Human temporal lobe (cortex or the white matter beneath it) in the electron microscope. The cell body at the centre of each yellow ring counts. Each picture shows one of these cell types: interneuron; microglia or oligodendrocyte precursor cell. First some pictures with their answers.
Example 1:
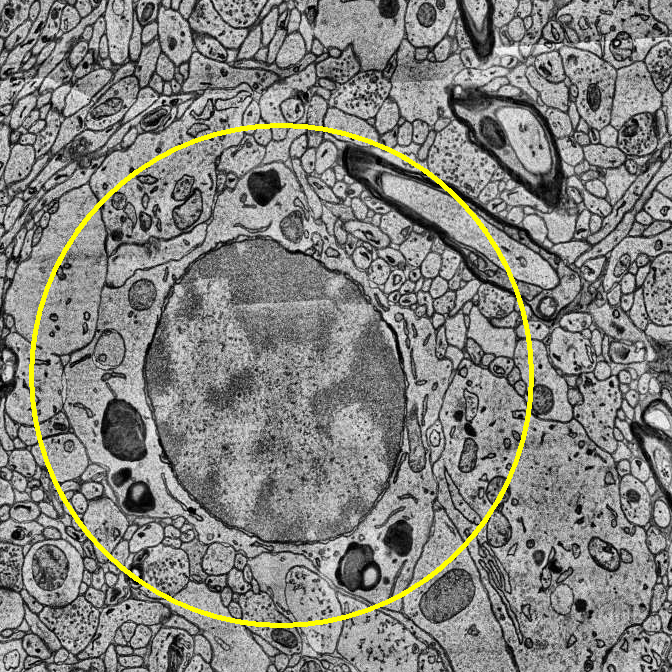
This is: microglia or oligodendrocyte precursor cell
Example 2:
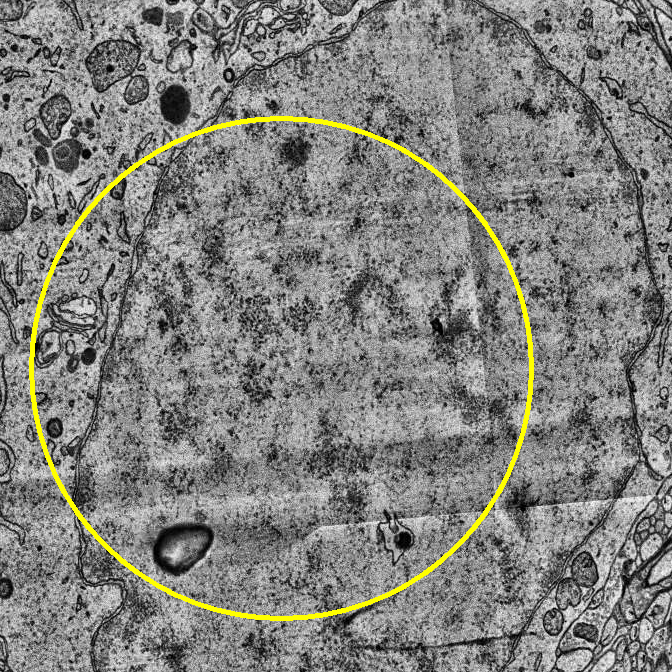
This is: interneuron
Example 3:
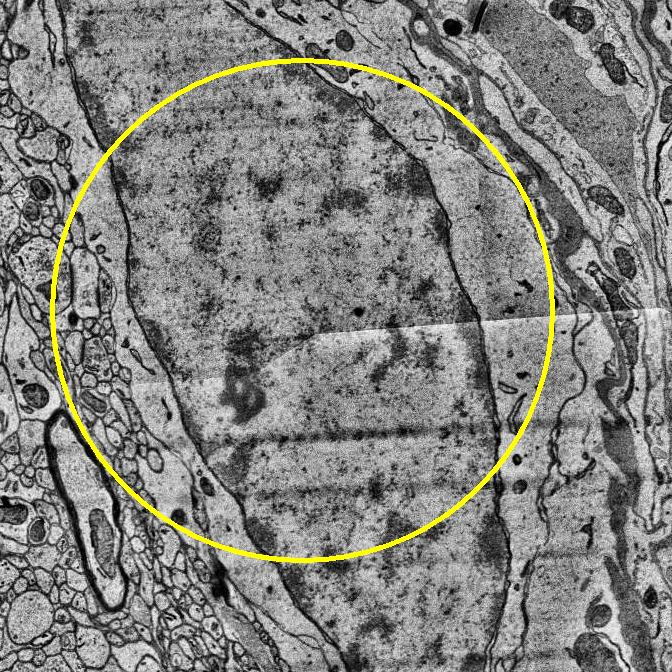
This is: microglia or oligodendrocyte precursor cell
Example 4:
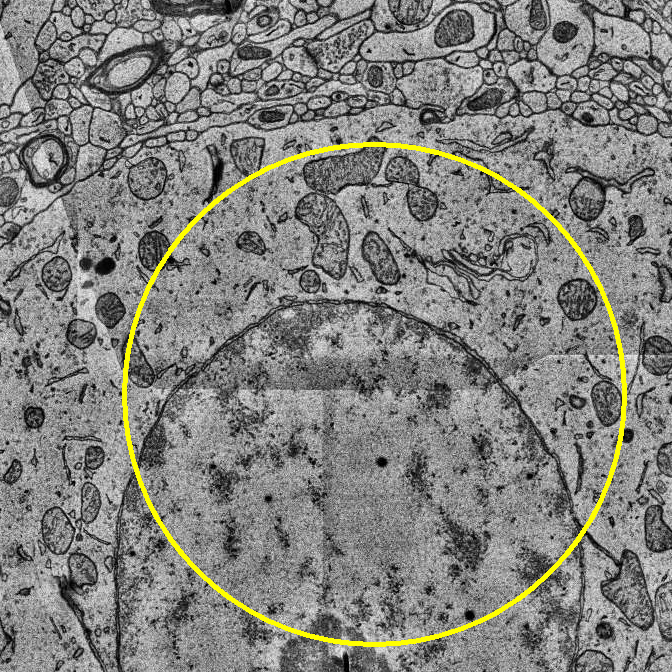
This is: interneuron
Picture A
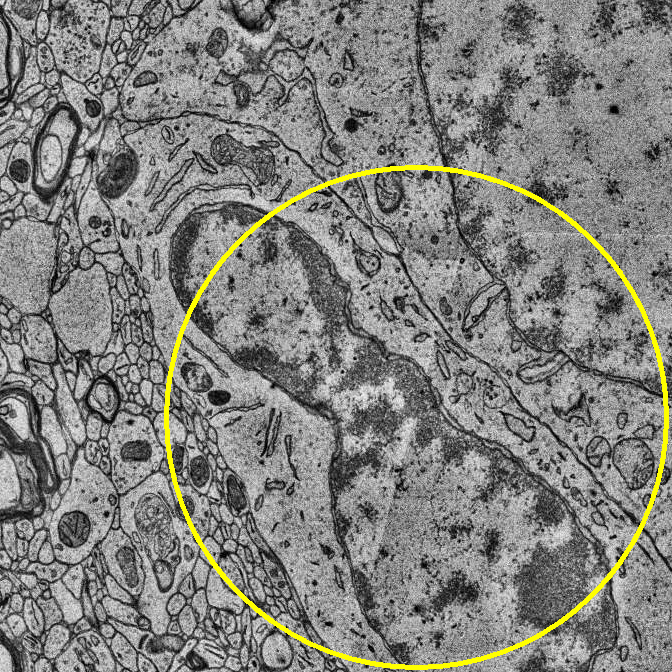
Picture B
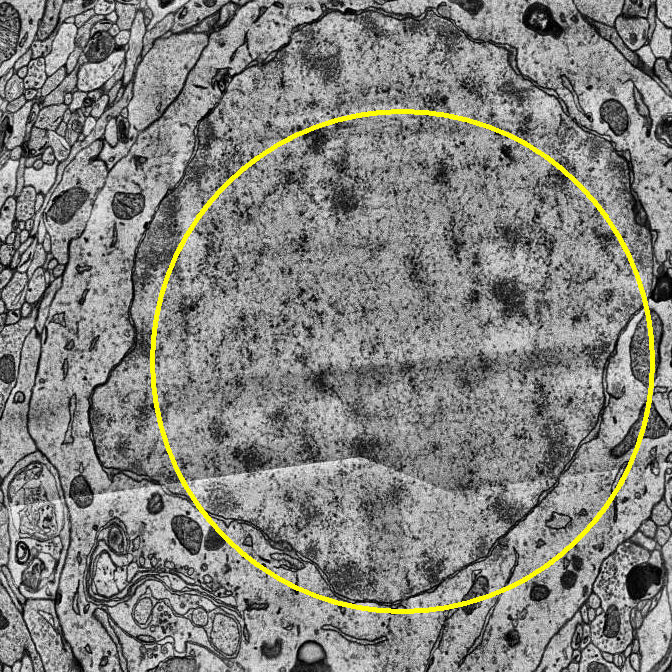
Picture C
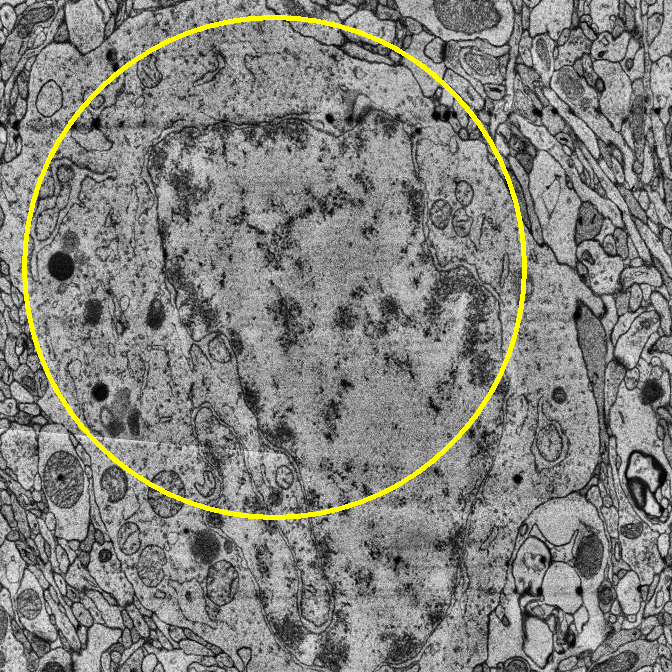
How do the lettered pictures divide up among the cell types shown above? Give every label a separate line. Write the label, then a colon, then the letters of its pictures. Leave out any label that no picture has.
interneuron: B, C
microglia or oligodendrocyte precursor cell: A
